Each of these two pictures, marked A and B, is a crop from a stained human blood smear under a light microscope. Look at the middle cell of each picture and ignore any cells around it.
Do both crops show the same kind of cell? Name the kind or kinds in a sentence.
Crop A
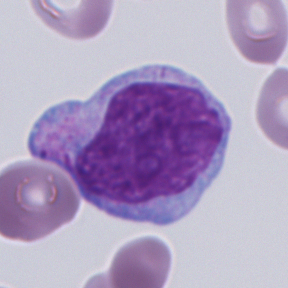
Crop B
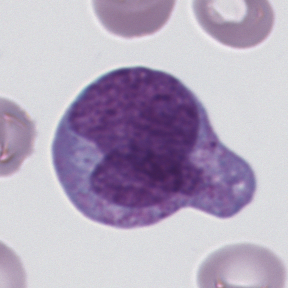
Yes, atypical promyelocytes are what the two crops show.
